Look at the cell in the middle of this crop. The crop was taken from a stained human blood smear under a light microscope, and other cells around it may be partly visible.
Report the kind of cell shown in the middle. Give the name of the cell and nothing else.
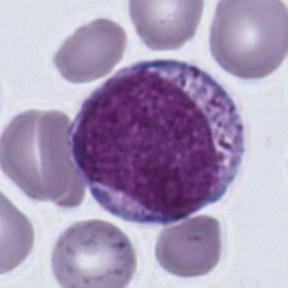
promyelocyte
